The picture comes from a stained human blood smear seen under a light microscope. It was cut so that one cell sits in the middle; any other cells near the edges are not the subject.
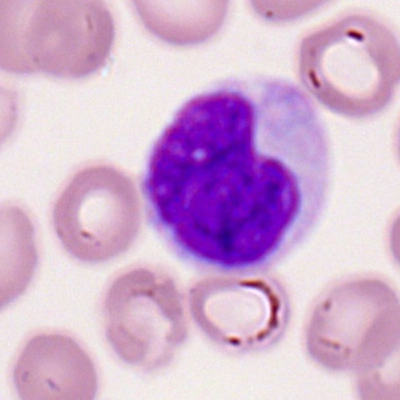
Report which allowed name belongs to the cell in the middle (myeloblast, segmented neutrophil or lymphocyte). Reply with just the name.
lymphocyte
